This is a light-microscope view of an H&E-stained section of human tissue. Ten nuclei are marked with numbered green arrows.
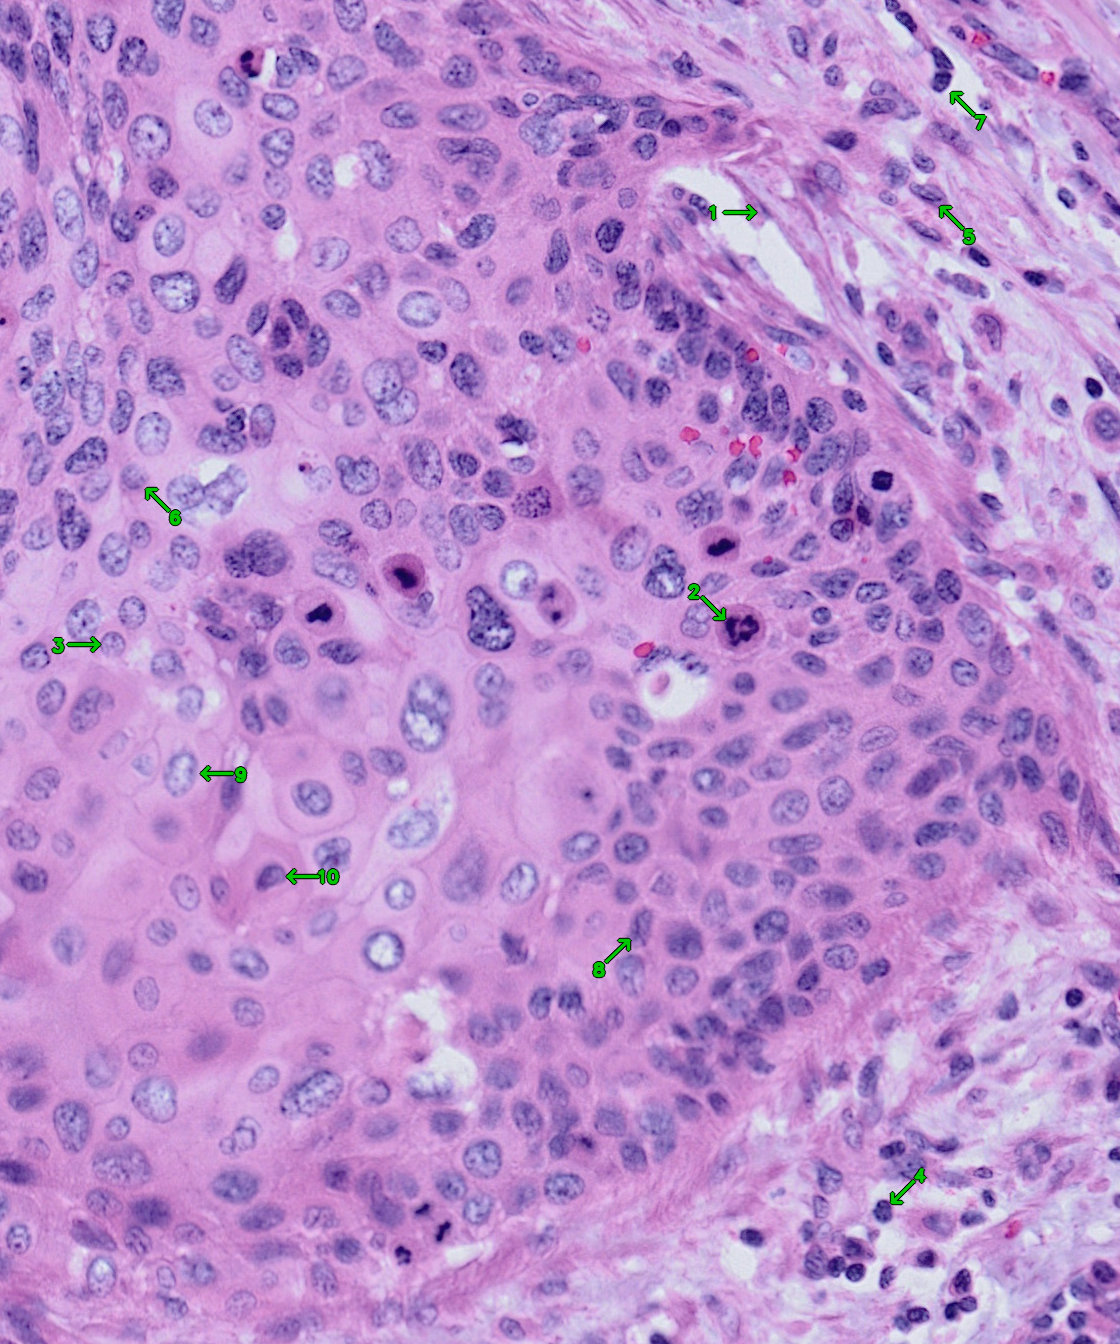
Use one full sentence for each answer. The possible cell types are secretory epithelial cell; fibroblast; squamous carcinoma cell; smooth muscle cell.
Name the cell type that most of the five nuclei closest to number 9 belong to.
Around number 9, most of the five nearest nuclei are those of squamous carcinoma cells.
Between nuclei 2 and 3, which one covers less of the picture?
Number 2 is smaller, since number 3 takes up about 2 times as much area.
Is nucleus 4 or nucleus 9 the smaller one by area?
It is nucleus 4; nucleus 9 has about 3 times its area.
